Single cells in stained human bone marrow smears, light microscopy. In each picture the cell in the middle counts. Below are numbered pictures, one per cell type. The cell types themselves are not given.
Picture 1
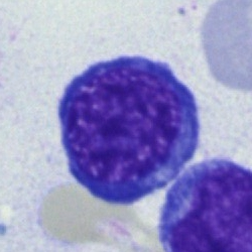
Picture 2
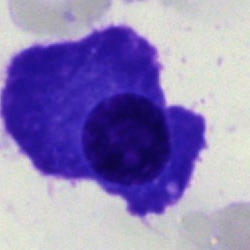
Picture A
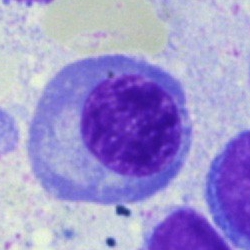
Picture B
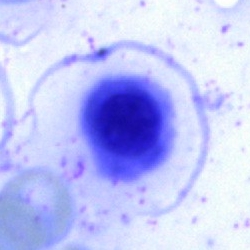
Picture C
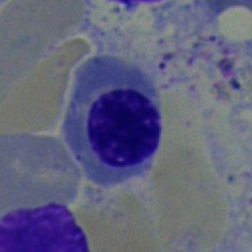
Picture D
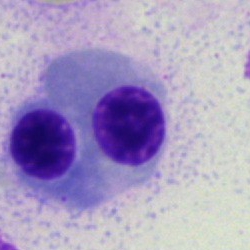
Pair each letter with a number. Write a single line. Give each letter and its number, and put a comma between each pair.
A 2, B 1, C 1, D 1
